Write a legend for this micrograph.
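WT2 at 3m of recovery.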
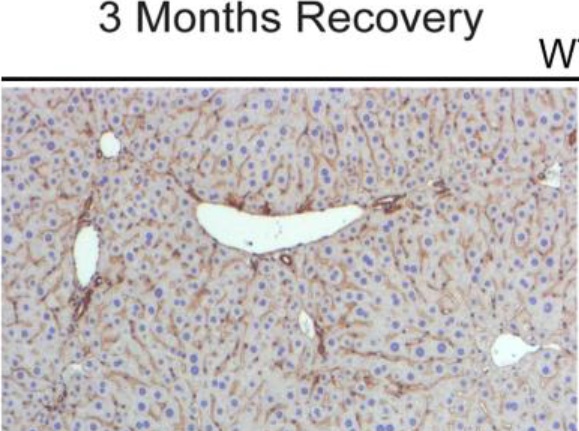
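Liver parenchyma of hepatocytes arranged in cords between several open vessel lumens, one large and elongated. Hepatocytes are large and polygonal with round, pale blue central nuclei and pale cytoplasm. Brown stain lines the cell borders, forming a fine lattice across the field. Small, more darkly brown-stained structures lie beside some of the vessels.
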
